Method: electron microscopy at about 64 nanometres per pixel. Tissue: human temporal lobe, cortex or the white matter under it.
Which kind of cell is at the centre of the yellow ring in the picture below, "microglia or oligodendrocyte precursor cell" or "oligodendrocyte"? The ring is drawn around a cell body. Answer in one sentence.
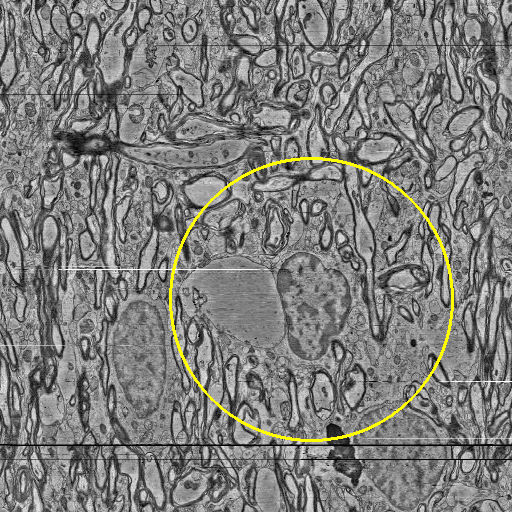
The ring's central cell is a microglial cell or oligodendrocyte precursor cell.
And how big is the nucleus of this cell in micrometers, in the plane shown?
The ringed cell's nucleus is about 7 micrometres long and 4 micrometres wide in this plane.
